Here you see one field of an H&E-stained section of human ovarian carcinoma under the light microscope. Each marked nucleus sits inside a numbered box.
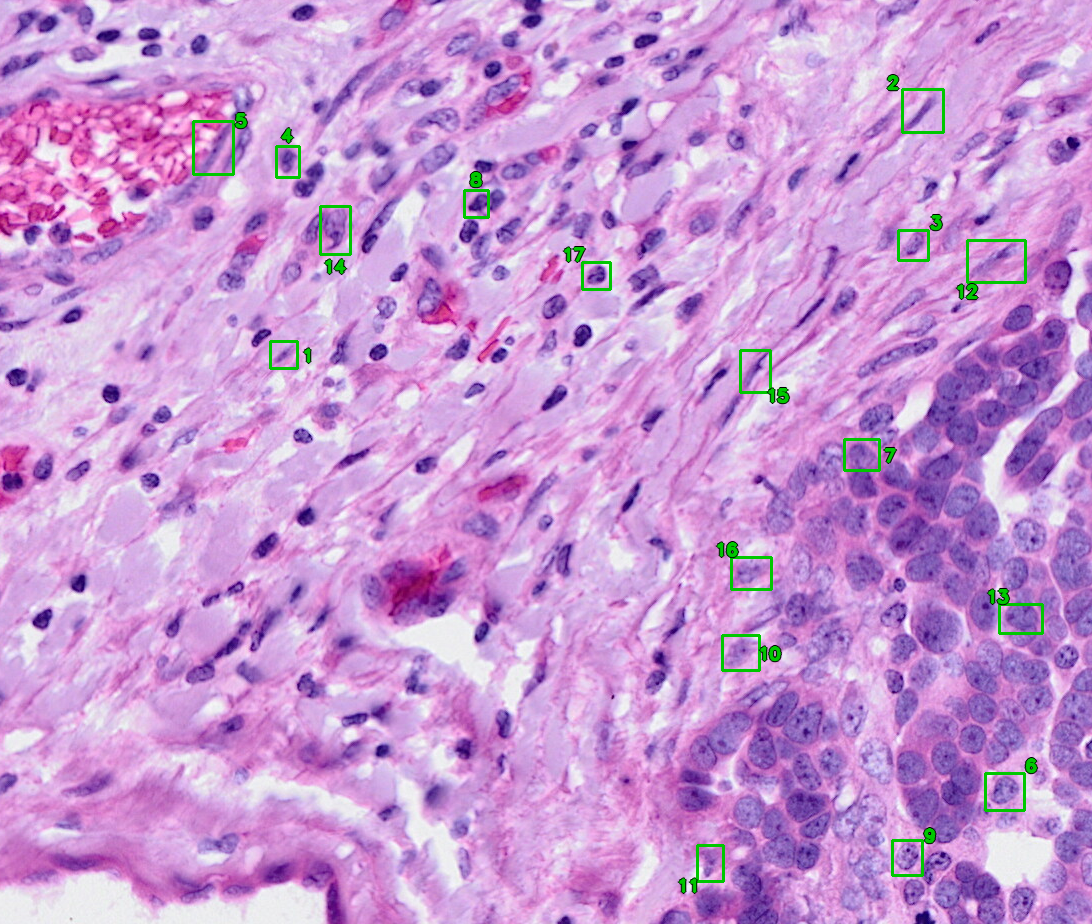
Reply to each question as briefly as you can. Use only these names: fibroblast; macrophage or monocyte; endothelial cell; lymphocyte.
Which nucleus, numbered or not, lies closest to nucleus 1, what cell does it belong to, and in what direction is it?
a lymphocyte; above and to the left of nucleus 1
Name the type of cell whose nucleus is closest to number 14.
endothelial cell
